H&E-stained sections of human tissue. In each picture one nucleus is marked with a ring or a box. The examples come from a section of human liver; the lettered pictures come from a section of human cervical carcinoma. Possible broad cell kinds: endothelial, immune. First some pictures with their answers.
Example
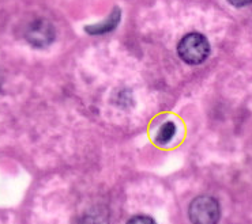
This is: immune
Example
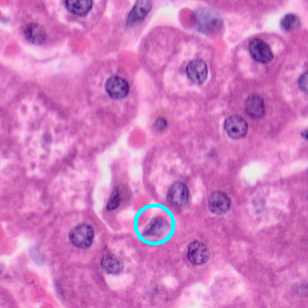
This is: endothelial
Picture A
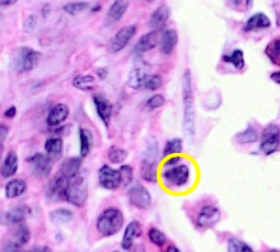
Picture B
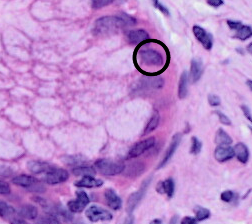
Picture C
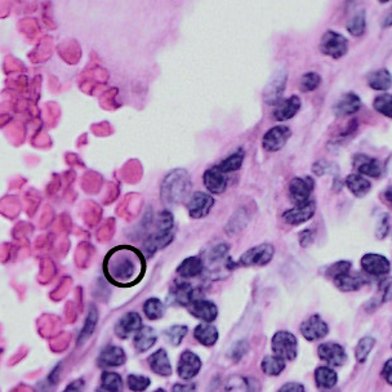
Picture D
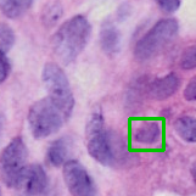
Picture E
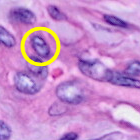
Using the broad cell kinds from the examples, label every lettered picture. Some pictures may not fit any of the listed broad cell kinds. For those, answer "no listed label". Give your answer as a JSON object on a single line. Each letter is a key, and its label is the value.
{"A": "immune", "B": "no listed label", "C": "immune", "D": "no listed label", "E": "endothelial"}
